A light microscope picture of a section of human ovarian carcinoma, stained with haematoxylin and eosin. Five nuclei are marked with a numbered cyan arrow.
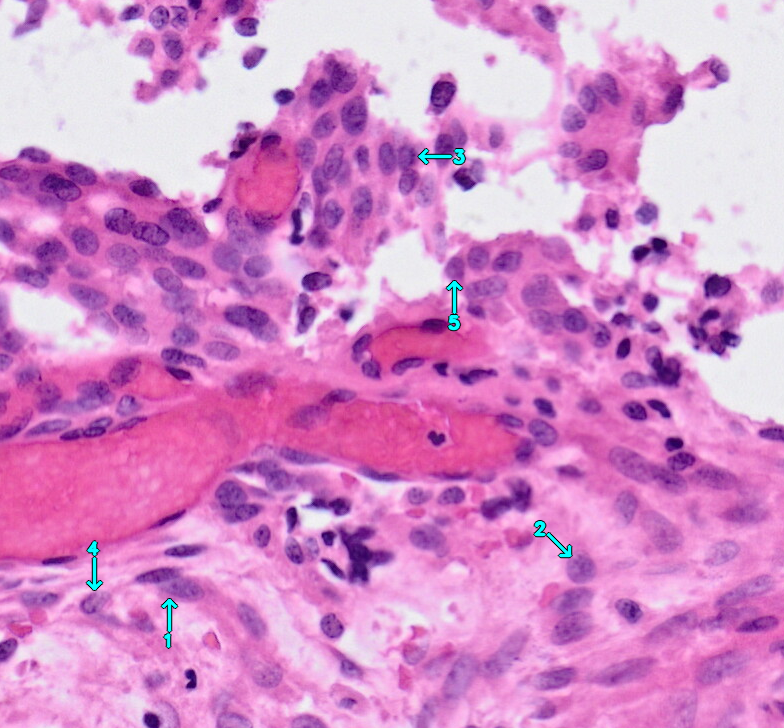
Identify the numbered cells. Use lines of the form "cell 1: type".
cell 1: fibroblast
cell 2: fibroblast
cell 3: carcinoma cell
cell 4: fibroblast
cell 5: carcinoma cell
